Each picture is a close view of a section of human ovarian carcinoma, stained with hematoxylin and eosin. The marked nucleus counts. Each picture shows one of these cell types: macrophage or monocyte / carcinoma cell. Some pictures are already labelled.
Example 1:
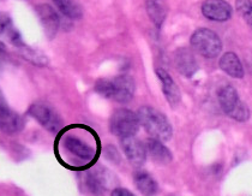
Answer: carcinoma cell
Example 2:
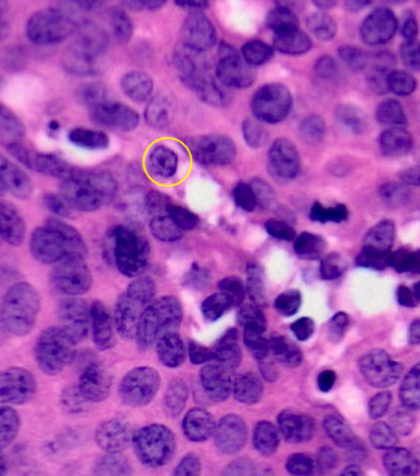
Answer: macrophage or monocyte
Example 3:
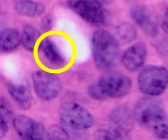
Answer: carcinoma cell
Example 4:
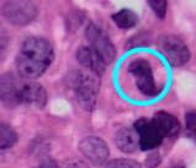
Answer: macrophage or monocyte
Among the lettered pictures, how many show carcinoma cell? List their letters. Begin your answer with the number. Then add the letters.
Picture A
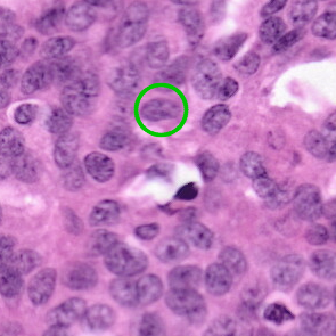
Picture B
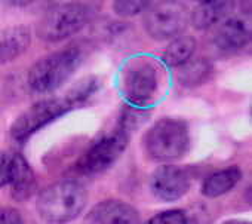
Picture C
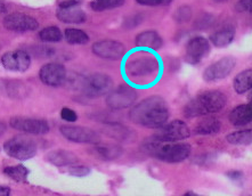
3, namely A, B, C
